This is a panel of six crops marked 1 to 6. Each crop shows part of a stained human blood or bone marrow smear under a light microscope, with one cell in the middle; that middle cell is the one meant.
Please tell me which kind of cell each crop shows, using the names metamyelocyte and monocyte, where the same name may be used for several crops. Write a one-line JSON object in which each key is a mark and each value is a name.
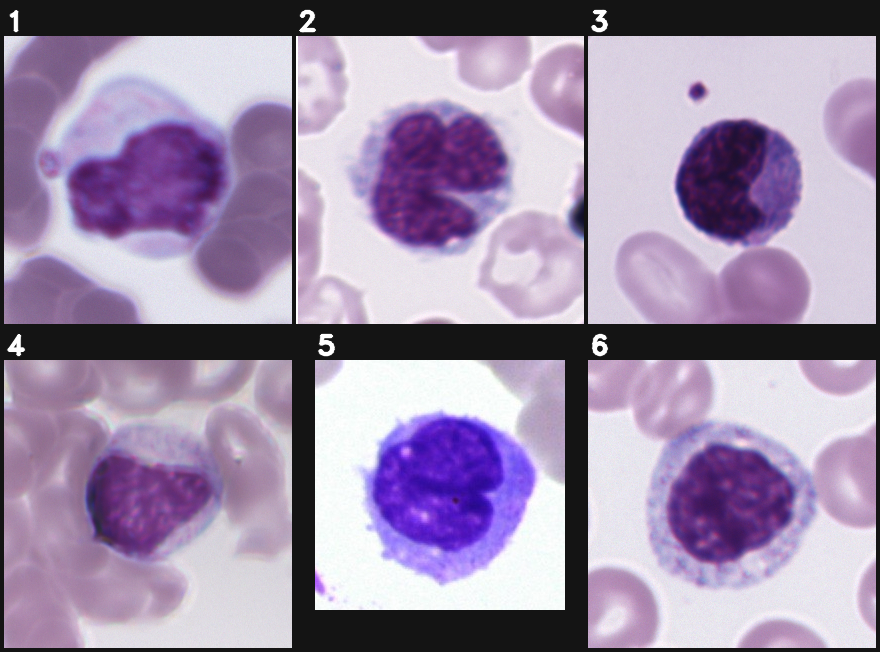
{"1": "metamyelocyte", "2": "monocyte", "3": "monocyte", "4": "metamyelocyte", "5": "monocyte", "6": "metamyelocyte"}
